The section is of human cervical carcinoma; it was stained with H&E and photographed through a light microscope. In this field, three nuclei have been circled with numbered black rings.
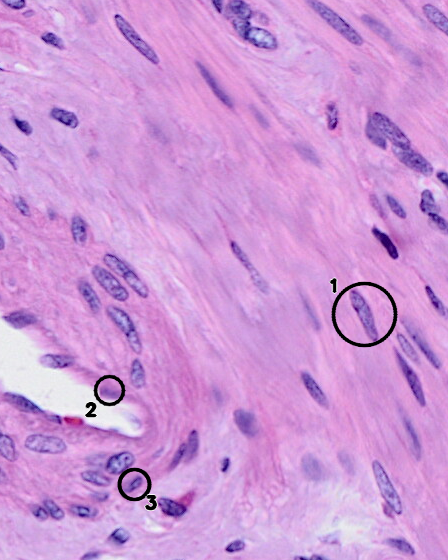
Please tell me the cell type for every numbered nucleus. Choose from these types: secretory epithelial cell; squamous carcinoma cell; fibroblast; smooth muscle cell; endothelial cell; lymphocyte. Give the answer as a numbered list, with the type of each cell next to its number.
1. fibroblast
2. endothelial cell
3. smooth muscle cell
